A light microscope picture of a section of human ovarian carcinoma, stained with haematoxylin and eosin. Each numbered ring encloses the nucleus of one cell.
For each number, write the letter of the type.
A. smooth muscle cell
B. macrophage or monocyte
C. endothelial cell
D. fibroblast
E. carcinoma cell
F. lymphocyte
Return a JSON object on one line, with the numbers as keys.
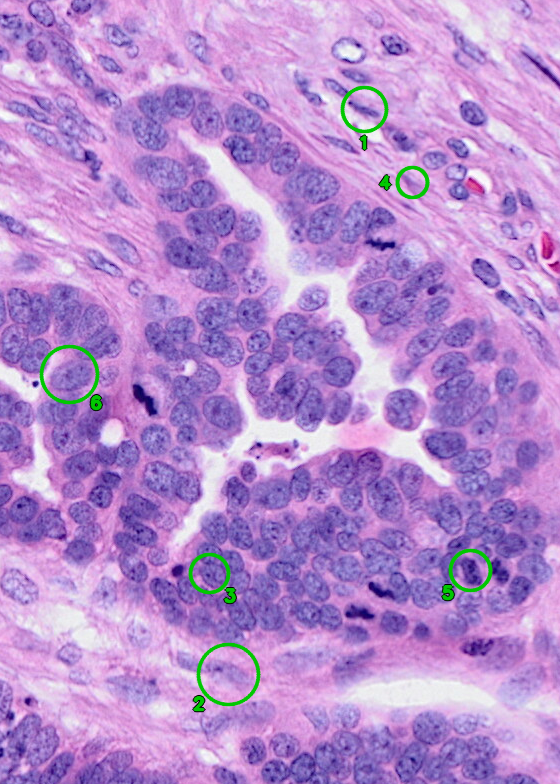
{"1": "D", "2": "D", "3": "E", "4": "D", "5": "E", "6": "E"}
